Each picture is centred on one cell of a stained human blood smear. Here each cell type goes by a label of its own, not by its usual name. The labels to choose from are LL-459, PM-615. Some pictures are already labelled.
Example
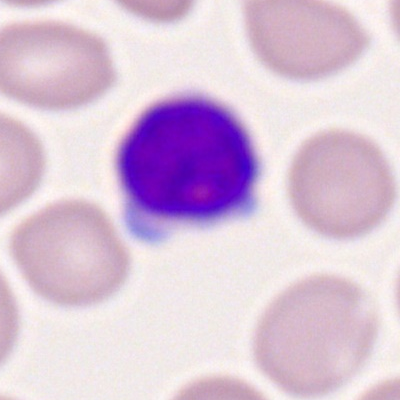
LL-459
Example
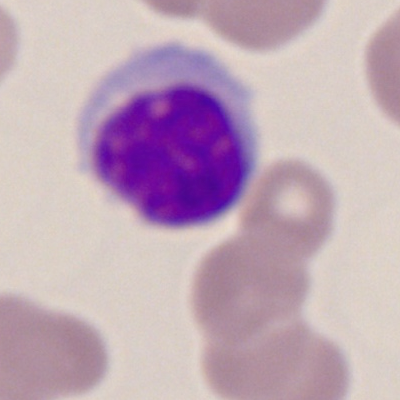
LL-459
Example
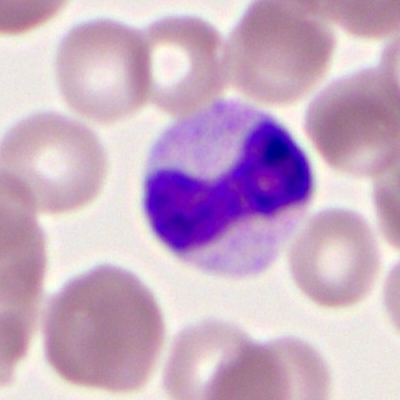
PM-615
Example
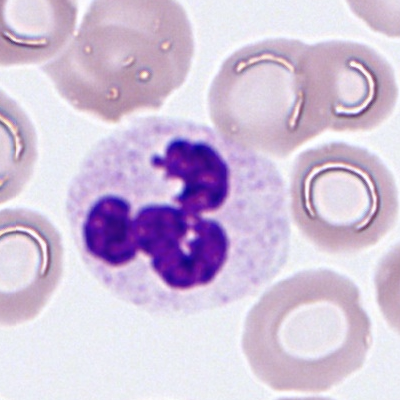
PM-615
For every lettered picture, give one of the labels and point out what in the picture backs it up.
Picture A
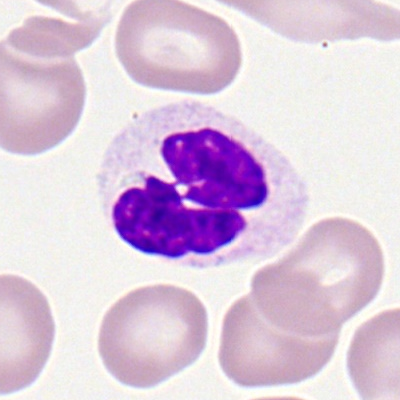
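PM-615. Reason: The cytoplasm is abundant and pale pinkish-lilac.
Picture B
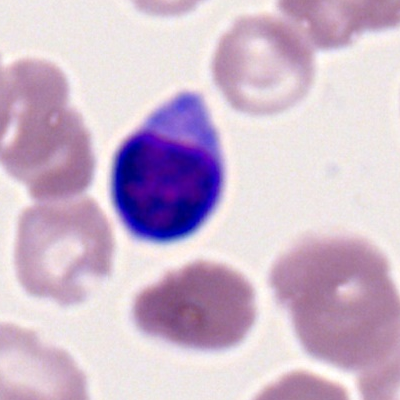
LL-459. Reason: The cytoplasm is scant and forms a cap above the nucleus.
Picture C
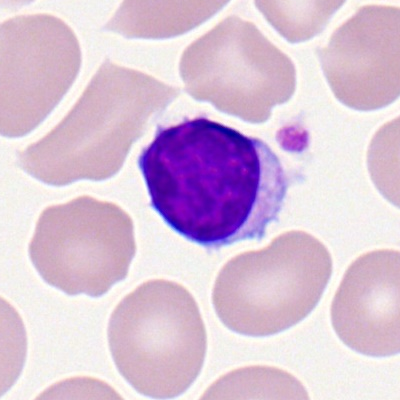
LL-459. Reason: The cytoplasm is scant and forms a narrow crescent mostly on the right side.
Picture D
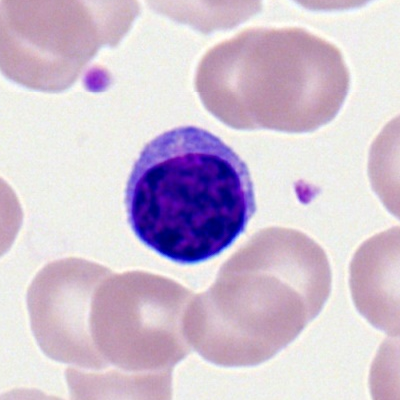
LL-459. Reason: The nucleus fills most of the cell.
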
